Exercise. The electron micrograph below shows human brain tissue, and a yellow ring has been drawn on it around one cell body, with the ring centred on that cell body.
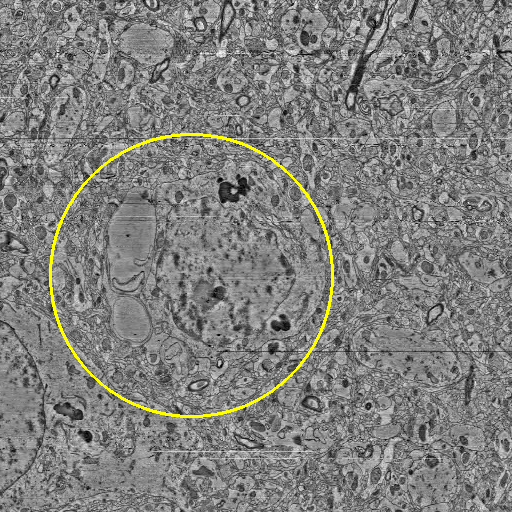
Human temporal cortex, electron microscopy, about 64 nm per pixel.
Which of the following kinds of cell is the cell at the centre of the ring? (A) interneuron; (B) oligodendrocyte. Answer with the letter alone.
A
